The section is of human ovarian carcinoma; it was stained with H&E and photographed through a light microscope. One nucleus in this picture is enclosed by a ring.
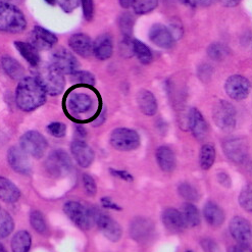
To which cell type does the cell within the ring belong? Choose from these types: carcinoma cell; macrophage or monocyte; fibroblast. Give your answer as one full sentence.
The correct response here is that the cell within the ring is a macrophage or monocyte.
